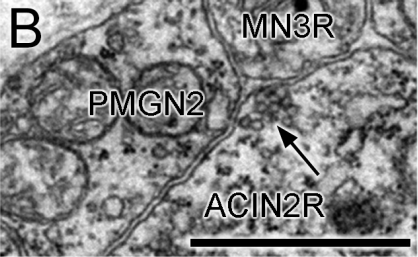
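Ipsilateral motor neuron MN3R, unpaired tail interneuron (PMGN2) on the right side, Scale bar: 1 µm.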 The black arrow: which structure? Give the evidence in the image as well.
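A dark density lies at the contact membrane. So: Dyad synapse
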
